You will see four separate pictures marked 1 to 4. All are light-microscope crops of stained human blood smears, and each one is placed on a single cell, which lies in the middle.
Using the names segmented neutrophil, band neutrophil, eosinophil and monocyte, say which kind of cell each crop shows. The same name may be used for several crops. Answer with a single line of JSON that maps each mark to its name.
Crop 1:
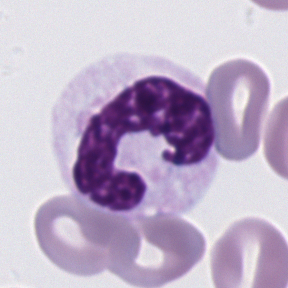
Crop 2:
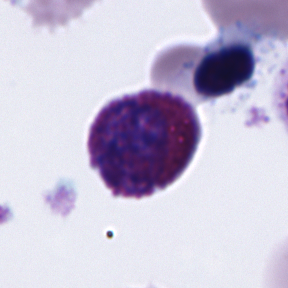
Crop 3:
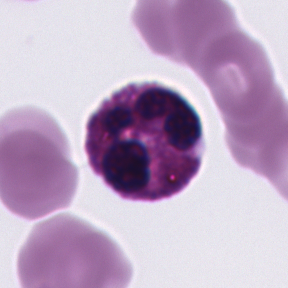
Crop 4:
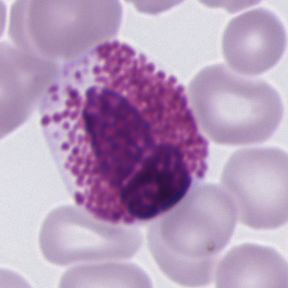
{"1": "band neutrophil", "2": "eosinophil", "3": "eosinophil", "4": "eosinophil"}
